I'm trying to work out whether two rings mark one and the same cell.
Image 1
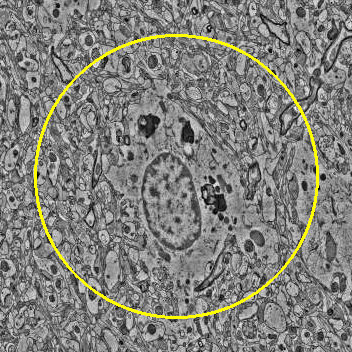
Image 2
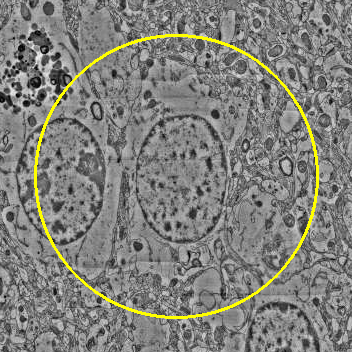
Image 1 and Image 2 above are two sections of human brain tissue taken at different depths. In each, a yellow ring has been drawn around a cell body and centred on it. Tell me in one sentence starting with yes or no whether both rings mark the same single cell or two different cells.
No, the two rings outline two separate cells in this micrograph.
